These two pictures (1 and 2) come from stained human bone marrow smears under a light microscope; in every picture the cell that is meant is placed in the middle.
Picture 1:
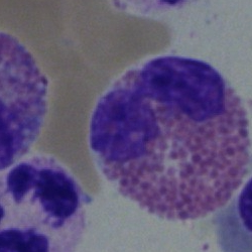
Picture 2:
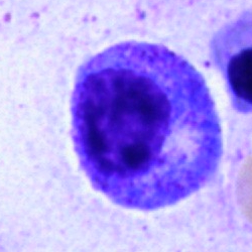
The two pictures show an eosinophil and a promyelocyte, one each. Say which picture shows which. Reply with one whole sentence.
In picture 1 the cell is an eosinophil; in picture 2, a promyelocyte.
